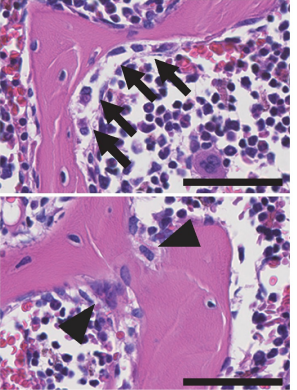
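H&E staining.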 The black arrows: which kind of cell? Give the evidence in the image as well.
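Osteoblasts. The arrows point to a row of small cells lying directly along the surface of a pink bone trabecula. Each of these cells has a single dark purple nucleus.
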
